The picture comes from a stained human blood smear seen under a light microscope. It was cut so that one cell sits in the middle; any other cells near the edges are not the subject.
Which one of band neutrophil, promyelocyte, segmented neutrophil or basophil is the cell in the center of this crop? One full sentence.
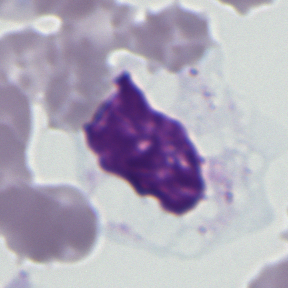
Centrally within this crop lies a segmented neutrophil.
